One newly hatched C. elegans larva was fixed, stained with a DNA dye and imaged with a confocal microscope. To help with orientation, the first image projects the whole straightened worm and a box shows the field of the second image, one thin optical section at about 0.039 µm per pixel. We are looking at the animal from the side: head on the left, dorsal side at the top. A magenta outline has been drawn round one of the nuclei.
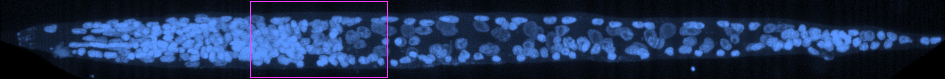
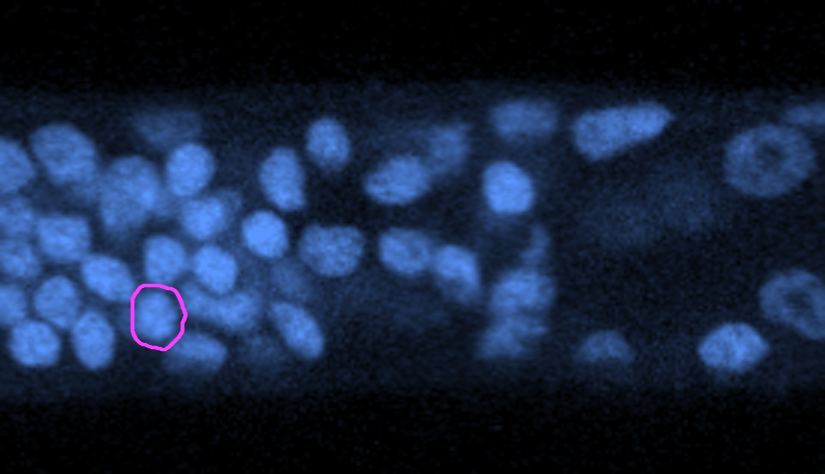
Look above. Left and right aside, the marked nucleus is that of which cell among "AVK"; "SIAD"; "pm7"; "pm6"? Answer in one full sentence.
The marked cell is SIAD, a neuron.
